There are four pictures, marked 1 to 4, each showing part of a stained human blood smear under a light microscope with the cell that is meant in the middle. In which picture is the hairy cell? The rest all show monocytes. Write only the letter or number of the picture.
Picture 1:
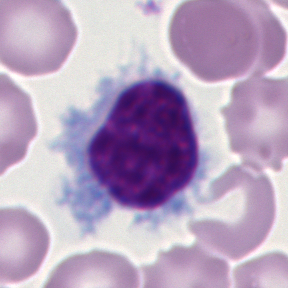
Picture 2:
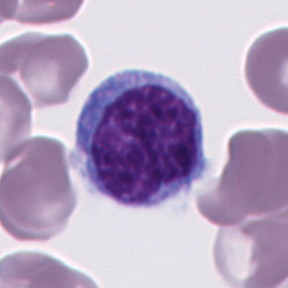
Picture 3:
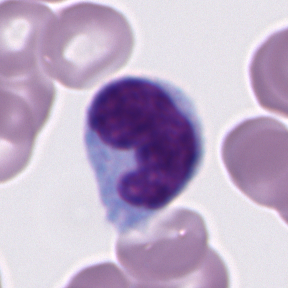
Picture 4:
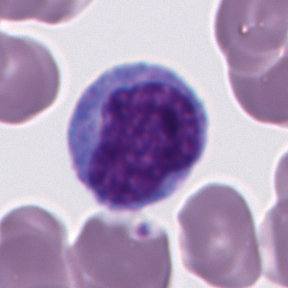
1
